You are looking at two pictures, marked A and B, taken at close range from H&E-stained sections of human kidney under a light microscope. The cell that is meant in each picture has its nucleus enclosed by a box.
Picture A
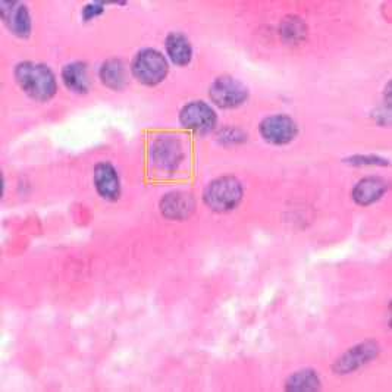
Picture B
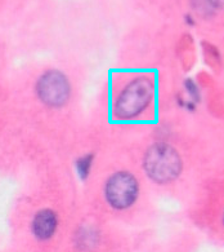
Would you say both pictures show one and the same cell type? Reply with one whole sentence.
No, picture A shows a collecting duct cell and picture B shows a proximal tubule cell.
